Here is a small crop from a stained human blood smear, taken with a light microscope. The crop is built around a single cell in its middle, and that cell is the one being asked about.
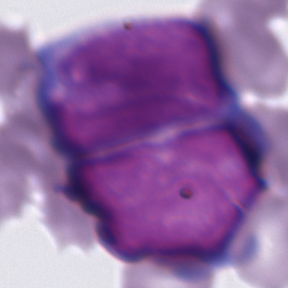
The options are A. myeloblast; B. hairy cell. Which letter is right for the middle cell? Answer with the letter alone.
A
